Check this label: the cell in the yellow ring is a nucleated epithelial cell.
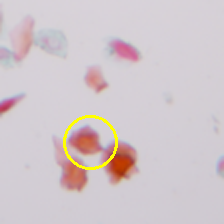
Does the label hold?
The label does not hold; the cell is a cornified epithelial cell.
